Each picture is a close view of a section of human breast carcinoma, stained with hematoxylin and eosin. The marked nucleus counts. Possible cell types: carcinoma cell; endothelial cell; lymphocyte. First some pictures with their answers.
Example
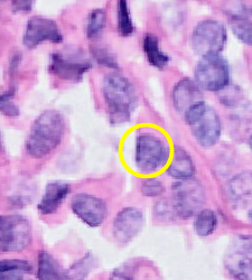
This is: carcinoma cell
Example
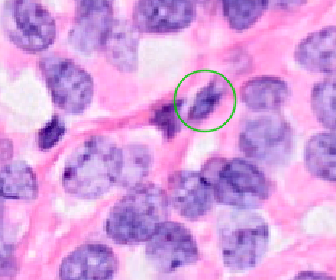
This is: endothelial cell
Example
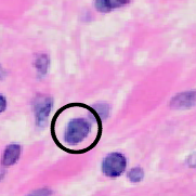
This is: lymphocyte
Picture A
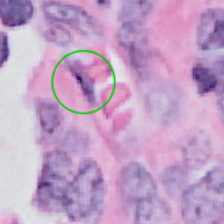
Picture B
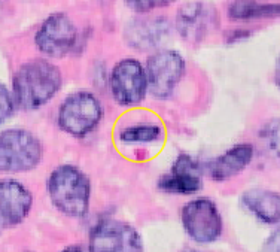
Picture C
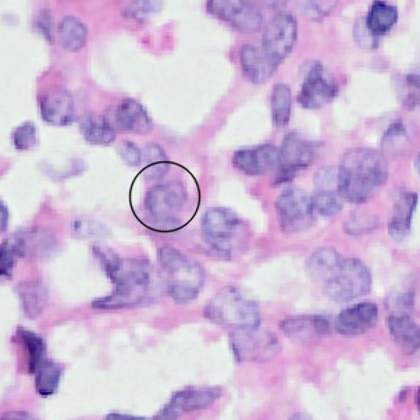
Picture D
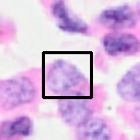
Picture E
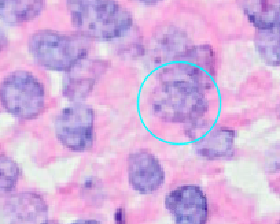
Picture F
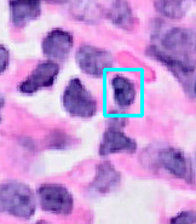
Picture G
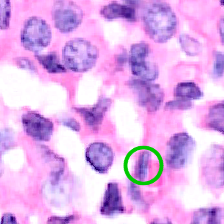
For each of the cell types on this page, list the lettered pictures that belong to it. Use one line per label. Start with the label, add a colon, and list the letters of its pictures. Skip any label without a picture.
carcinoma cell: C, D, E
endothelial cell: A, B, G
lymphocyte: F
